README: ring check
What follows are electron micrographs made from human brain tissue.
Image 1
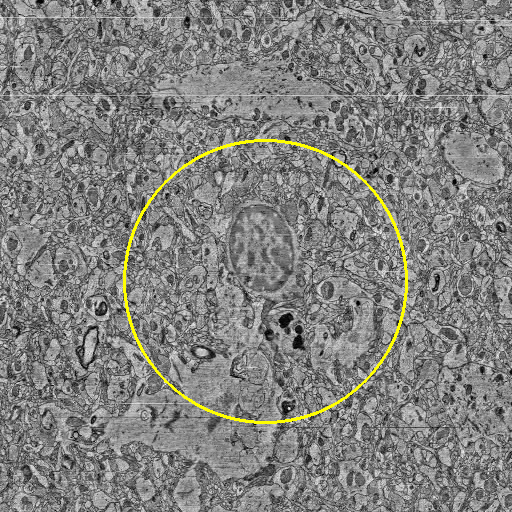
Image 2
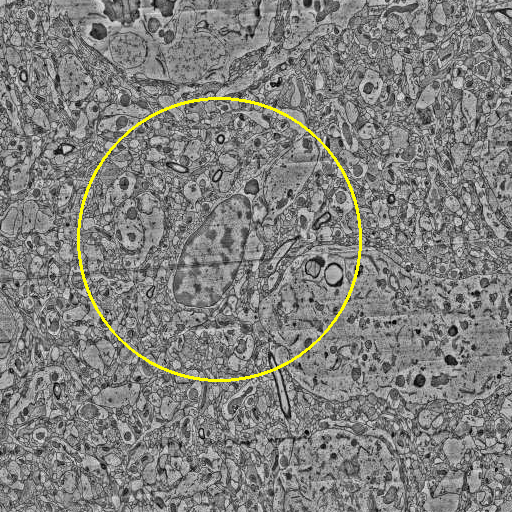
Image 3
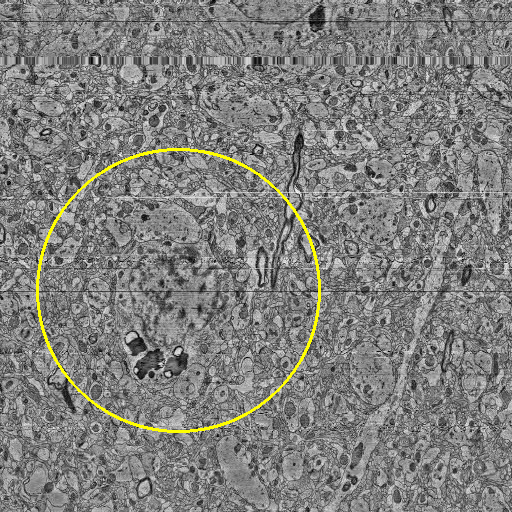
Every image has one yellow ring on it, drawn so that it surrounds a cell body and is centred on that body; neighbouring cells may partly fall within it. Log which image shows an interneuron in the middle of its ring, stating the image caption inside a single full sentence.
Image 3 is where the cell at the ring's centre matches the one asked for.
